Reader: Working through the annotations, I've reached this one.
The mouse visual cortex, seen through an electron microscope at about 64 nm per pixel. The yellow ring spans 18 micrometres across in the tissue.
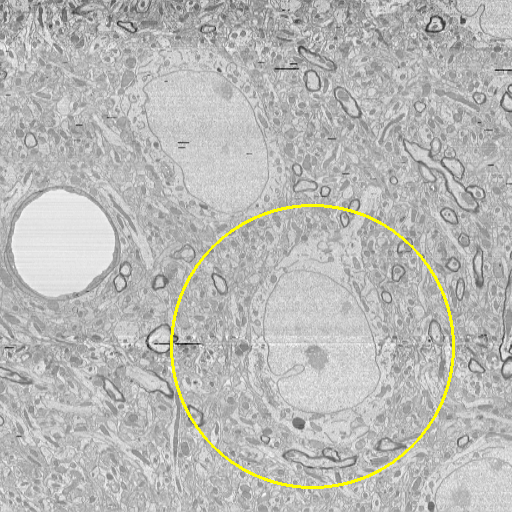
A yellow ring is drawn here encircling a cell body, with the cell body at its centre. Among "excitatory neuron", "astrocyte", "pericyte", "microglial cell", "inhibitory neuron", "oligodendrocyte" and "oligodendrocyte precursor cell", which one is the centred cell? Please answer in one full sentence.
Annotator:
The cell body at the centre of the yellow ring in this image belongs to an excitatory neuron.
